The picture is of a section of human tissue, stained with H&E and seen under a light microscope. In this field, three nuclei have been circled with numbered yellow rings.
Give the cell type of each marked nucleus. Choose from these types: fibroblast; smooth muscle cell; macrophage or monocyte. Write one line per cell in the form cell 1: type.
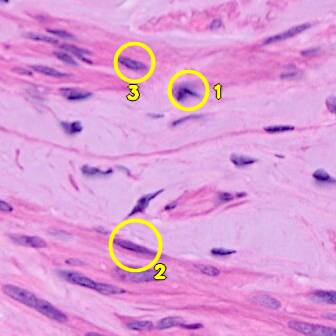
cell 1: fibroblast
cell 2: smooth muscle cell
cell 3: smooth muscle cell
